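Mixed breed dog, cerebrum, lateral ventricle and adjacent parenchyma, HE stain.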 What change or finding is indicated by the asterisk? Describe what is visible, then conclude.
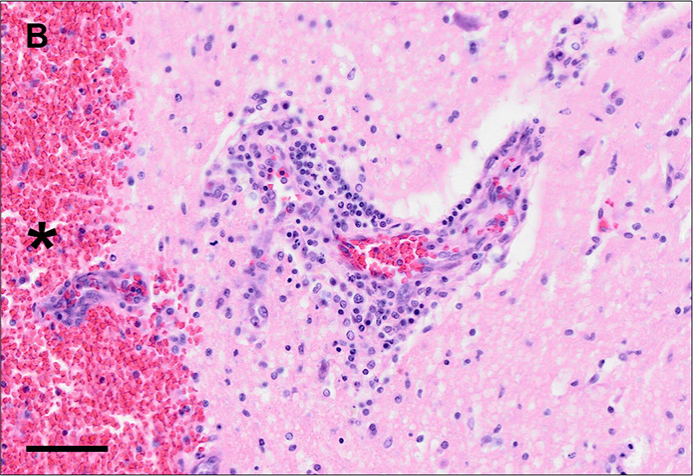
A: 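The area at the asterisk is packed with small, round, anucleate red cells. The sheet of red cells has a sharp border with the pink brain tissue to its right. That points to this answer: hemorrhage.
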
